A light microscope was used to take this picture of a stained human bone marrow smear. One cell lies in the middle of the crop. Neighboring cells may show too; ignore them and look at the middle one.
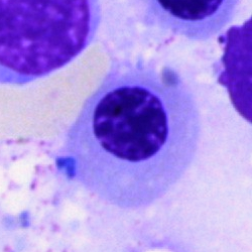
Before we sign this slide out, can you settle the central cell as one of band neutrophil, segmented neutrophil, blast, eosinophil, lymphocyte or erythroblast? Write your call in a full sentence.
The cell positioned in the middle of the field is an erythroblast.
